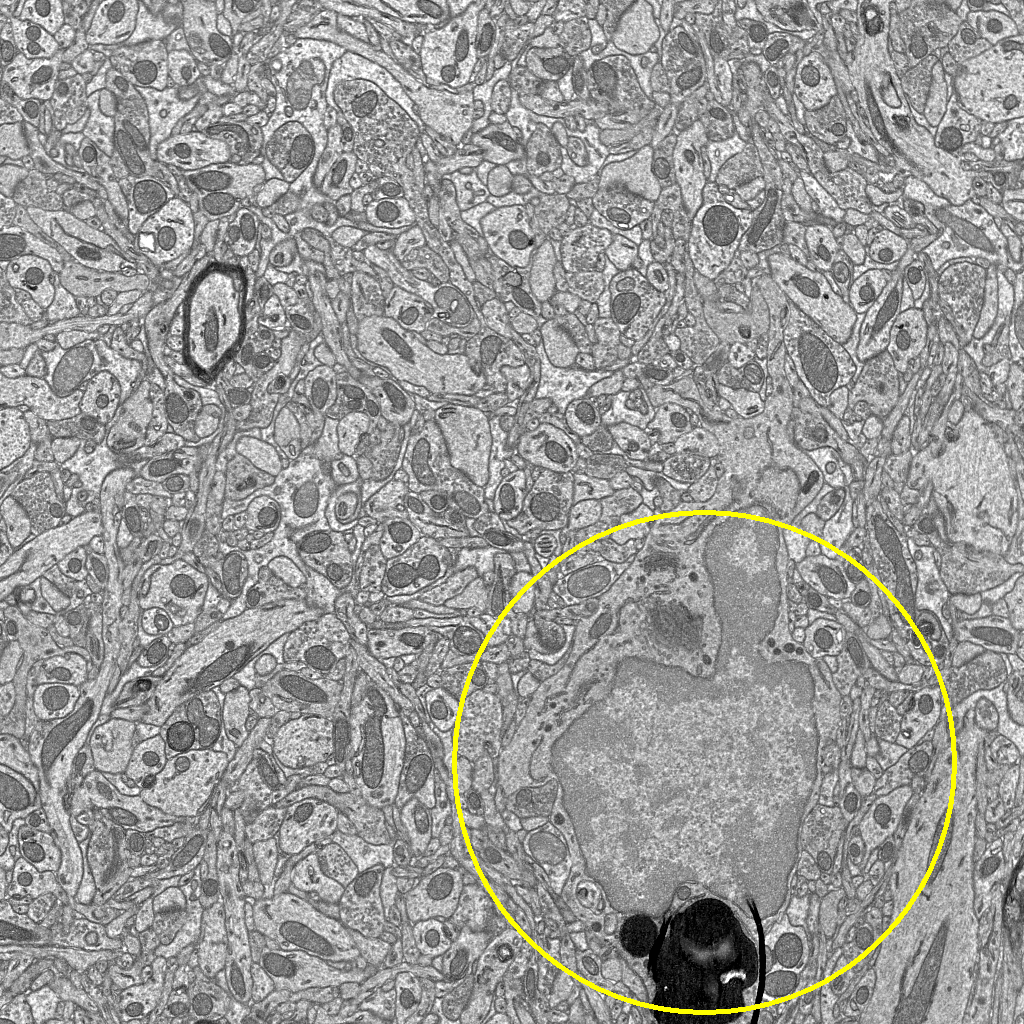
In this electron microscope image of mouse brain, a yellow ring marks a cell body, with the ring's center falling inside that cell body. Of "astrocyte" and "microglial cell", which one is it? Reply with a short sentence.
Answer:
It is a microglial cell at the center of the ring.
